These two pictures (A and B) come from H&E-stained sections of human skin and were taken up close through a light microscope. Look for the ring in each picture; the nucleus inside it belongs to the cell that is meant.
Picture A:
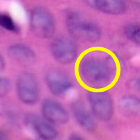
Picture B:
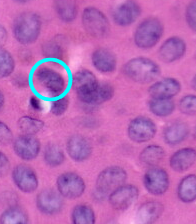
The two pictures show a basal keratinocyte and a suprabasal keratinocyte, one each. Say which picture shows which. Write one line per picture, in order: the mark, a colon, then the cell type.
A: suprabasal keratinocyte
B: basal keratinocyte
